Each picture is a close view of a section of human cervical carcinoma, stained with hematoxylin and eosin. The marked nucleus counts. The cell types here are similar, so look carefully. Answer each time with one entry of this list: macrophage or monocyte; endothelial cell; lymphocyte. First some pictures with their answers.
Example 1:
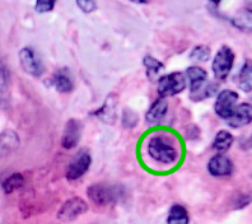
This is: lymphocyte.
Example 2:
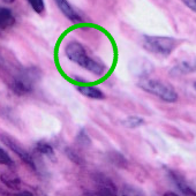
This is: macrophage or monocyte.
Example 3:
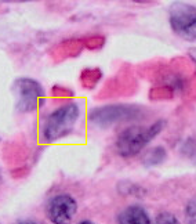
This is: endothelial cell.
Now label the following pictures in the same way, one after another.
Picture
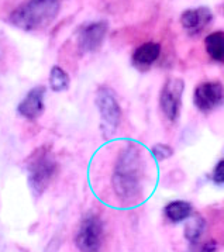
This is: endothelial cell.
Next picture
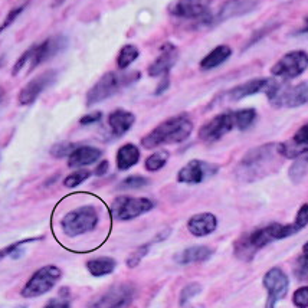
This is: lymphocyte.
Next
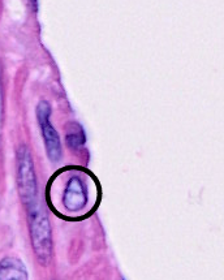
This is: endothelial cell.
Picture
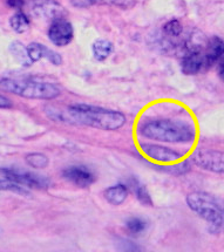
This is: endothelial cell.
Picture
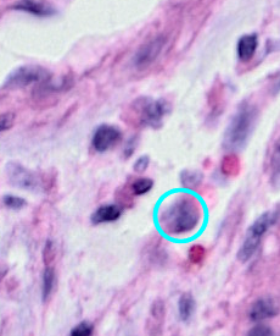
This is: endothelial cell.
